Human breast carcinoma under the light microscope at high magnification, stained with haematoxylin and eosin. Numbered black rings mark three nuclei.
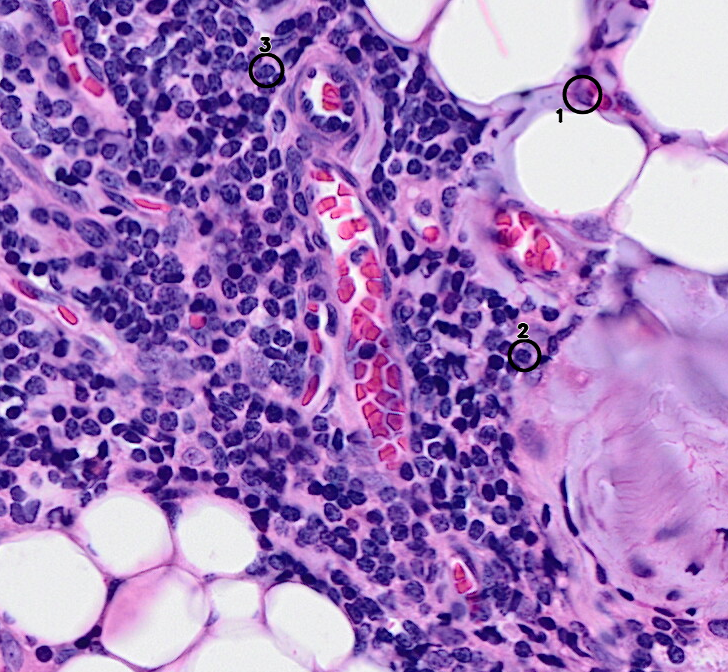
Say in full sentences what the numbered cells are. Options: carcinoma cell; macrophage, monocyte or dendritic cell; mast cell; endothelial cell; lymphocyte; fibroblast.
Cell 1 is an endothelial cell. Cells 2 and 3 are lymphocytes.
